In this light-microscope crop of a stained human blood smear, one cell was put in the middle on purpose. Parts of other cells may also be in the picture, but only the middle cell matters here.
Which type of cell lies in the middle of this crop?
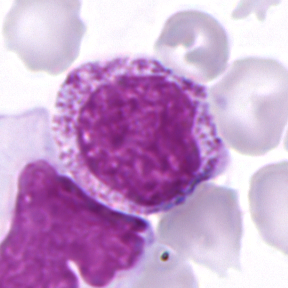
myelocyte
